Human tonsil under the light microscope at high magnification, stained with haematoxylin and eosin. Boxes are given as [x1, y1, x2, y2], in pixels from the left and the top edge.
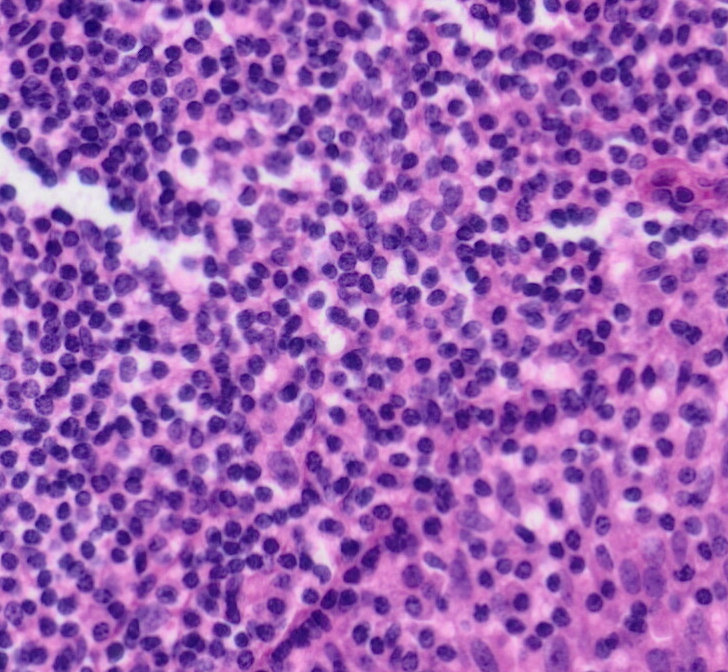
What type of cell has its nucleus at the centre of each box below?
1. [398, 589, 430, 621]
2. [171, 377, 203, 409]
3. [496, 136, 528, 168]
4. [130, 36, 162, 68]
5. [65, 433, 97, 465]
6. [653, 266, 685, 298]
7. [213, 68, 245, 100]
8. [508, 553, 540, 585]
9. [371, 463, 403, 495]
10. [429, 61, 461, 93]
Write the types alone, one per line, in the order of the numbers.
plasma cell
small lymphocyte
small lymphocyte
small lymphocyte
small lymphocyte
plasma cell
small lymphocyte
plasma cell
plasma cell
small lymphocyte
